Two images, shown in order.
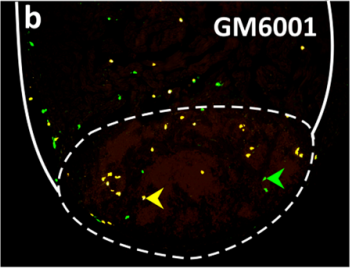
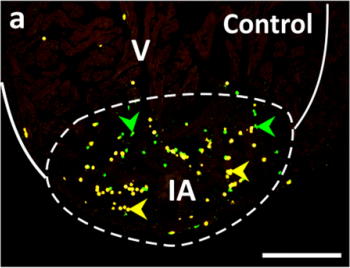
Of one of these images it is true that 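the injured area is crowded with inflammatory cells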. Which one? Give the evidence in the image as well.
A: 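The second image. First image: only scattered yellow and green dots lie inside the dashed outline. Second image: many yellow dots, some in clusters, and numerous green dots fill the dashed outline.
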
